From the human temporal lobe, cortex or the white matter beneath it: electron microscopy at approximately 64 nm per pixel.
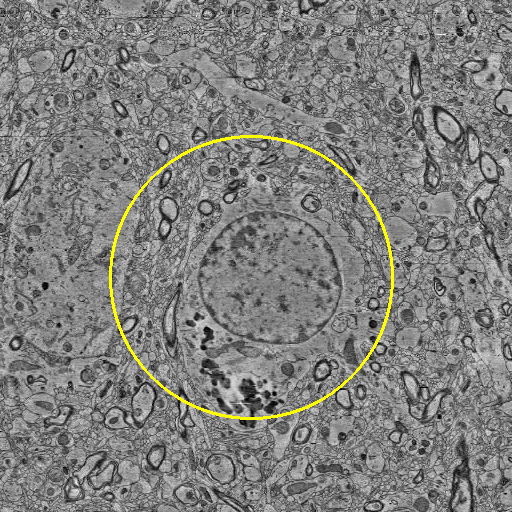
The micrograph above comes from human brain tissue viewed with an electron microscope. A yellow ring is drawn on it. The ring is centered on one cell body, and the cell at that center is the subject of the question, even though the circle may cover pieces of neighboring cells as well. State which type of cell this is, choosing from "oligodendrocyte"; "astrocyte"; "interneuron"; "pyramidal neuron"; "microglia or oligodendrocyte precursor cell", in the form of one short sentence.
The cell the ring is centered on is an astrocyte.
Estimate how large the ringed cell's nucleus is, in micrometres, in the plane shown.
The nucleus is approximately 9 micrometers across in this plane.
